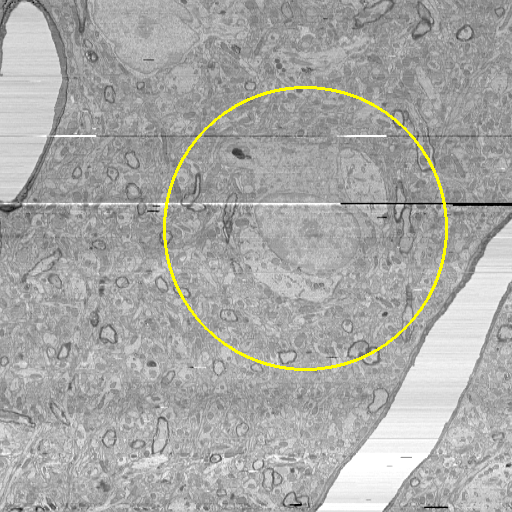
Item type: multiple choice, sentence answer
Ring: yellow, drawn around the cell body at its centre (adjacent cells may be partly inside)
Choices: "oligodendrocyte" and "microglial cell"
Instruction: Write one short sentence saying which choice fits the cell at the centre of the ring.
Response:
This ring is drawn around an oligodendrocyte.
